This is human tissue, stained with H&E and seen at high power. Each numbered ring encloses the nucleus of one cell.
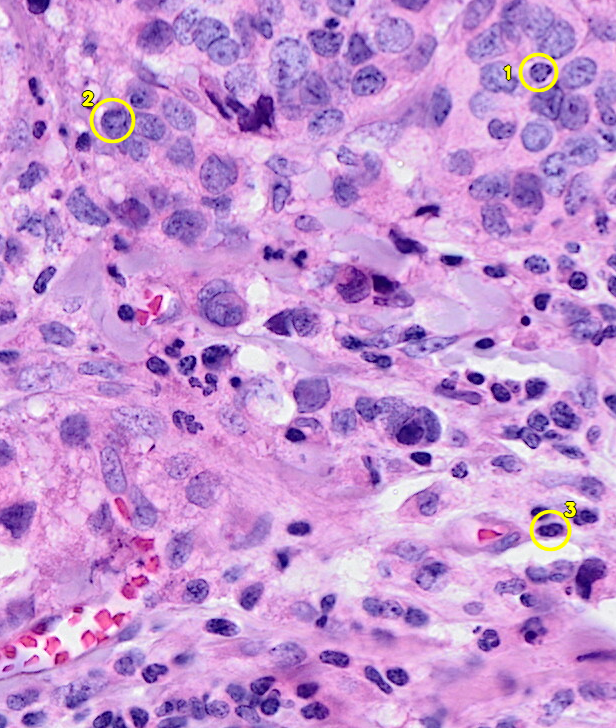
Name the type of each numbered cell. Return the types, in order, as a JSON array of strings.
["lymphocyte", "carcinoma cell", "lymphocyte"]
